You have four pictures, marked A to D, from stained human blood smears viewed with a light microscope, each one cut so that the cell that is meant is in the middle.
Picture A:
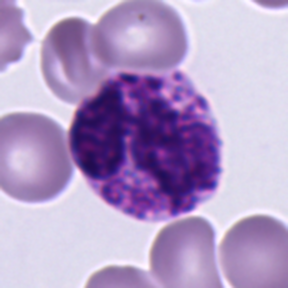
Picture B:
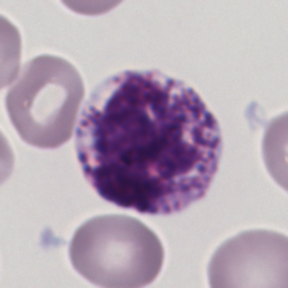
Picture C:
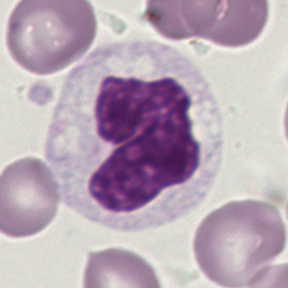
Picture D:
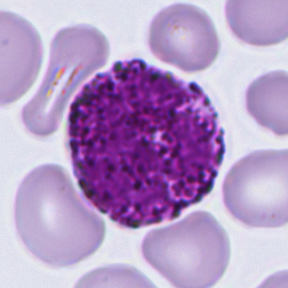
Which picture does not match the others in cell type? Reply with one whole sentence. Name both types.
The others show basophils, but picture C shows a segmented neutrophil.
